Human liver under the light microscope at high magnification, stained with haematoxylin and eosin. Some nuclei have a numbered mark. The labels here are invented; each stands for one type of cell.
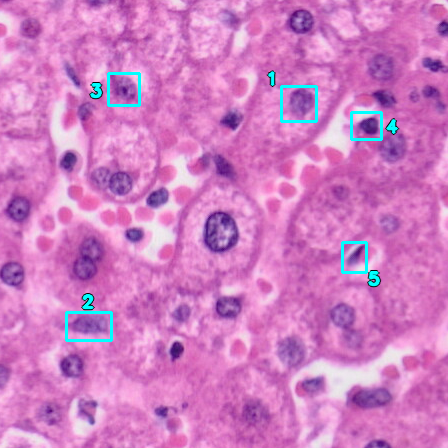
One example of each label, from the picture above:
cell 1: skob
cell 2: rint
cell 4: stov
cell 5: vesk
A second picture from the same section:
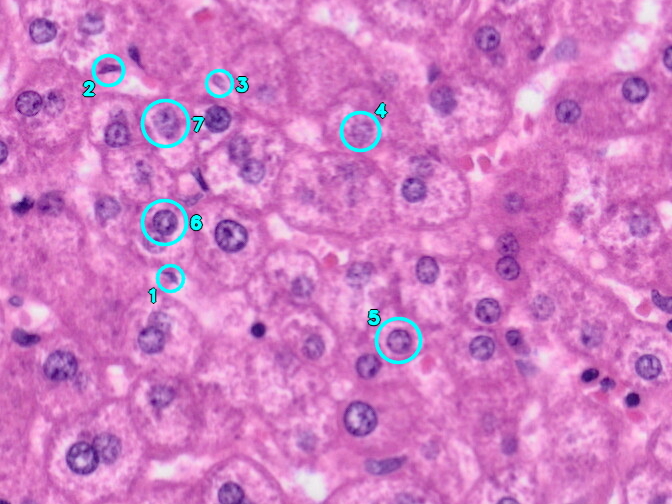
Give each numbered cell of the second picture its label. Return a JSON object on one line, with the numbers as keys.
{"1": "vesk", "2": "vesk", "3": "rint", "4": "skob", "5": "skob", "6": "skob", "7": "skob"}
